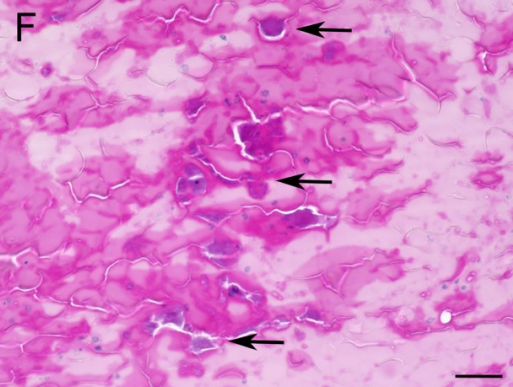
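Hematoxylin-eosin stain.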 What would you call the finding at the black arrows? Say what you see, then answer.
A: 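Purple-blue granular deposits among pink disrupted material. Deposits are clumped and irregular. So: Dystrophic mineralization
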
